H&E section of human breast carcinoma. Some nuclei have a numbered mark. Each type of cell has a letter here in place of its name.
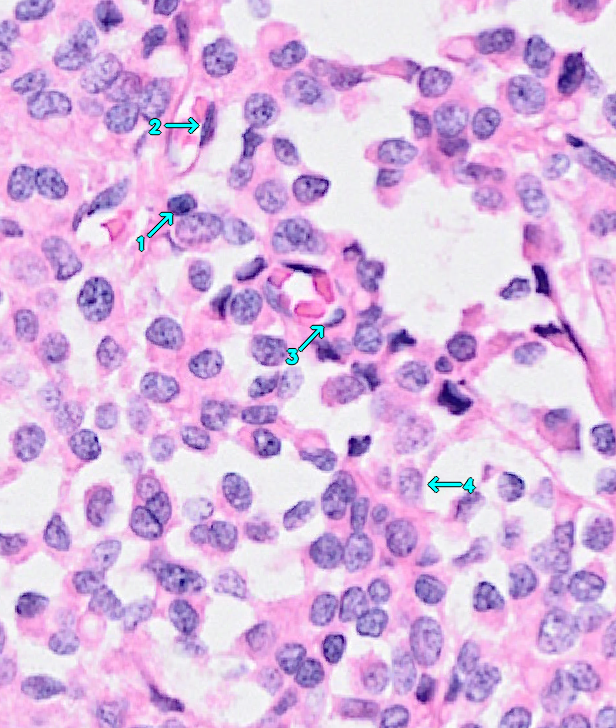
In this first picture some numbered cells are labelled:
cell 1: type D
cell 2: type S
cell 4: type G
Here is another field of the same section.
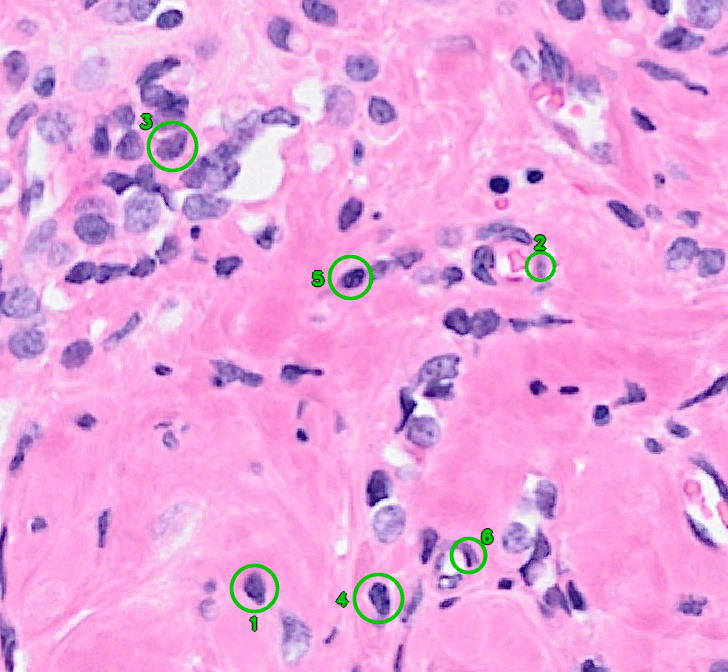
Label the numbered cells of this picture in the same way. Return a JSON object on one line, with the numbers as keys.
{"1": "type D", "2": "type S", "3": "type G", "4": "type D", "5": "type D", "6": "type S"}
